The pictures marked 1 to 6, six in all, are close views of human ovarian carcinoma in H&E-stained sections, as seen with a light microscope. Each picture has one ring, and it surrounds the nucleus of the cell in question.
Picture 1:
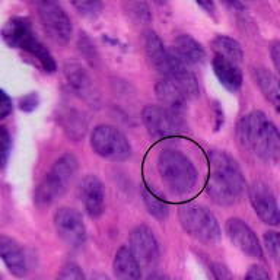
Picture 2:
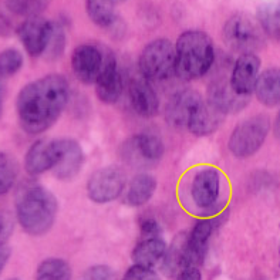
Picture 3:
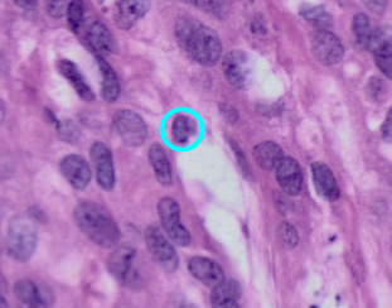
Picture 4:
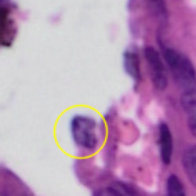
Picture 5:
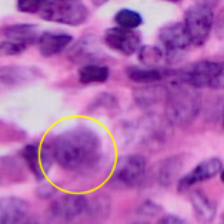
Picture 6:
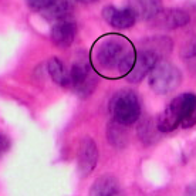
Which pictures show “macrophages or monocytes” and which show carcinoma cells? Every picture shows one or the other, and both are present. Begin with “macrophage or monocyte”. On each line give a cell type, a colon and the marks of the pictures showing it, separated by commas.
macrophage or monocyte: 2, 3, 4
carcinoma cell: 1, 5, 6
